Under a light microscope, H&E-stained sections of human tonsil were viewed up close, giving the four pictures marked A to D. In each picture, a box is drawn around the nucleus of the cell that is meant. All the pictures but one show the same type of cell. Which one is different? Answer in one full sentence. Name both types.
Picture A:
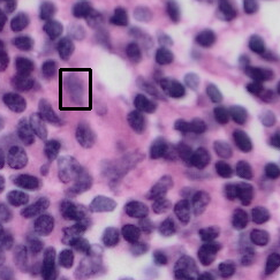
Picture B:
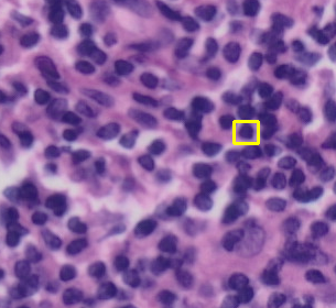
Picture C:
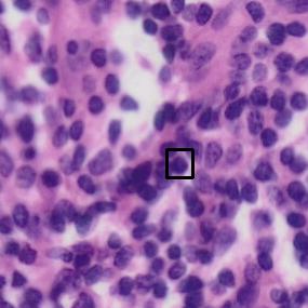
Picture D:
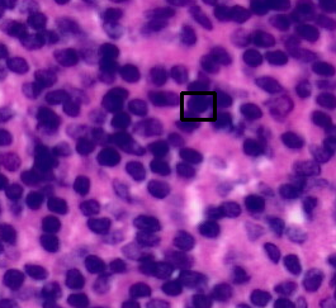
The others show small lymphocytes, but picture A shows an endothelial cell.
